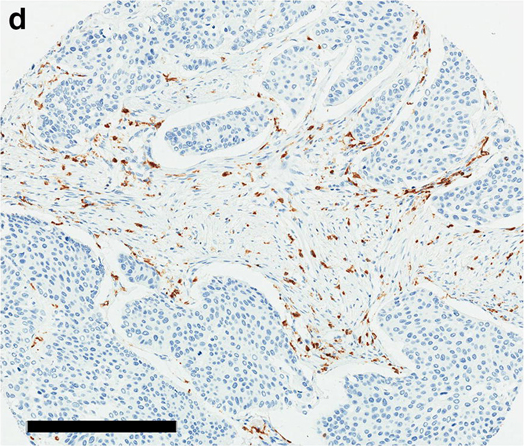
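This is a carcinoma growing in large solid nests of tumour cells separated by fibrous stroma. The tumour cells have round to oval blue nuclei and pale cytoplasm with no brown staining, whereas scattered small and elongated stromal and inflammatory cells between the nests are stained brown.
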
